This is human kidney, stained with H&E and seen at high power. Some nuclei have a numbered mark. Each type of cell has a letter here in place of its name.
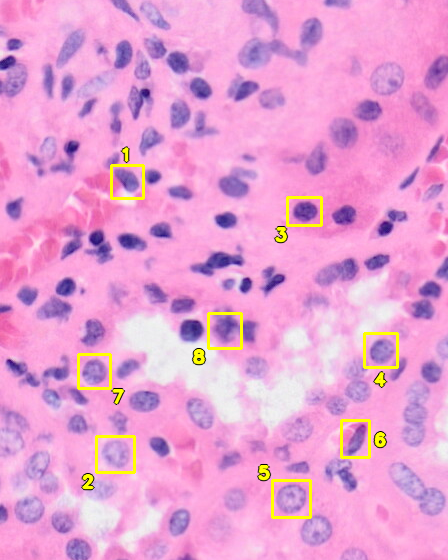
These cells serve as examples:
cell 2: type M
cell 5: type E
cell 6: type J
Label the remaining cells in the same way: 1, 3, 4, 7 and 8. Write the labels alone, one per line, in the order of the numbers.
type J
type E
type M
type M
type M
